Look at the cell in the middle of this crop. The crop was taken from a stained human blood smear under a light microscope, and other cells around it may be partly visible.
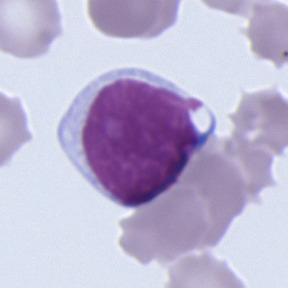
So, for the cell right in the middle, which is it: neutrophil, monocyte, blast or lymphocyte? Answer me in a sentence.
The cell in the middle of this crop is a lymphocyte.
